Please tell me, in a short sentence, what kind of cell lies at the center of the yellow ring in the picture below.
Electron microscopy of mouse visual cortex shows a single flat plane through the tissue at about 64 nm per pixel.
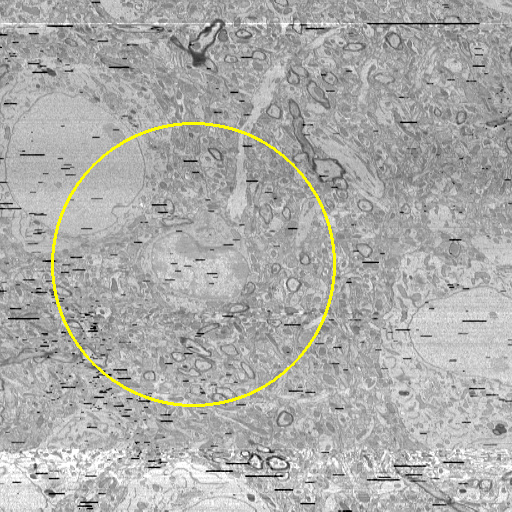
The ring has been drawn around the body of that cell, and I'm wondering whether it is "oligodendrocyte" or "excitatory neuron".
The cell at the center of the ring is an oligodendrocyte.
